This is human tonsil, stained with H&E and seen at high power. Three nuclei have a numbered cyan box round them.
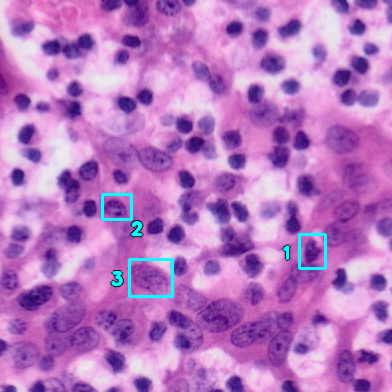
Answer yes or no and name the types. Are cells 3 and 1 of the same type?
Yes, both cell 3 and cell 1 count among the squamous epithelial cells.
